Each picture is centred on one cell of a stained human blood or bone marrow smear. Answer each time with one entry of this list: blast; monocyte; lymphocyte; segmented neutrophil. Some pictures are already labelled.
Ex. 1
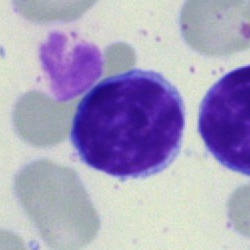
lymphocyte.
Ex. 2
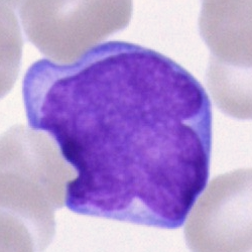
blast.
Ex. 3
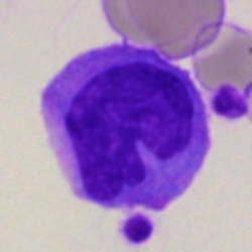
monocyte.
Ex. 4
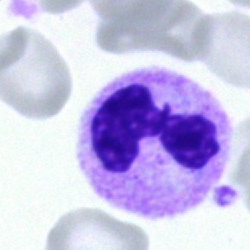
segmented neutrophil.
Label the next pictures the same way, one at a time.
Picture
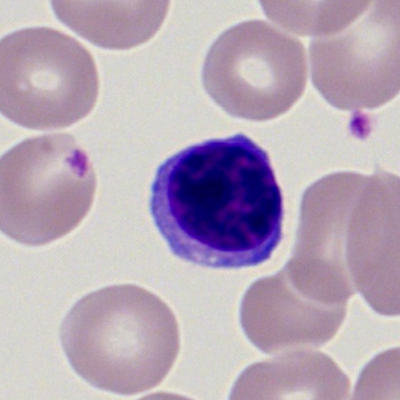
lymphocyte.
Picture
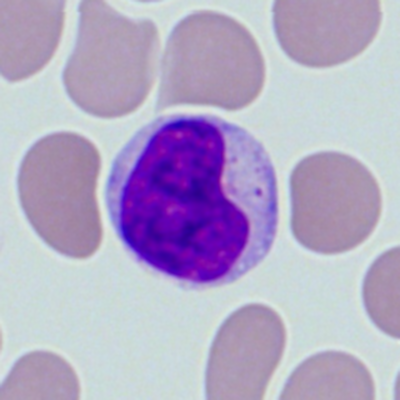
lymphocyte.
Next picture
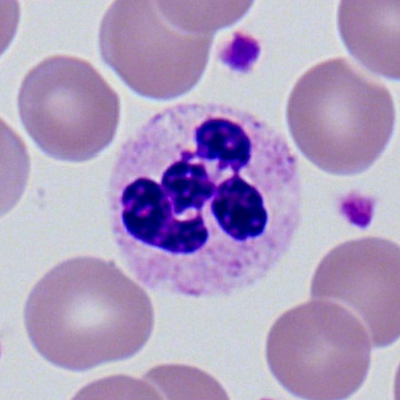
segmented neutrophil.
